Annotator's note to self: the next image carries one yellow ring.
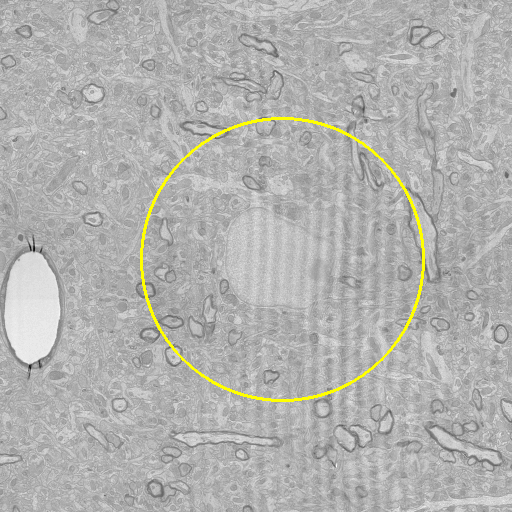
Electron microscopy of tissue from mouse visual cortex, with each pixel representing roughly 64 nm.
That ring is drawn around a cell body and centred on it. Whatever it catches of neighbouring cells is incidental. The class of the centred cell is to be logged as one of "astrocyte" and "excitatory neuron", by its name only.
astrocyte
